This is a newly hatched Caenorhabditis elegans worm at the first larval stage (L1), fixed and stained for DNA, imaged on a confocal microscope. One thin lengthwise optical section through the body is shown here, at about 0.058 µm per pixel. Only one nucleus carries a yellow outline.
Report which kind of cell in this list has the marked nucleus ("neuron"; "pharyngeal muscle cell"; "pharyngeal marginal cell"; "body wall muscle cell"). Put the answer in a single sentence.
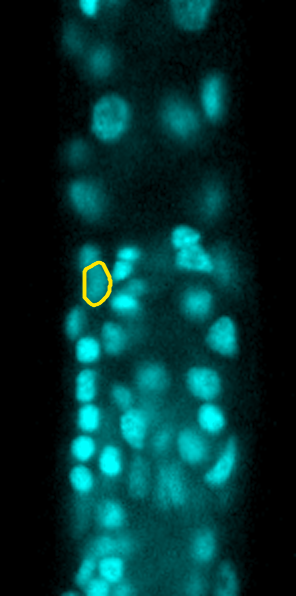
The marked nucleus belongs to a body wall muscle cell.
